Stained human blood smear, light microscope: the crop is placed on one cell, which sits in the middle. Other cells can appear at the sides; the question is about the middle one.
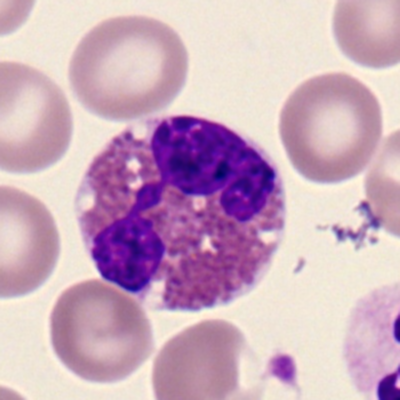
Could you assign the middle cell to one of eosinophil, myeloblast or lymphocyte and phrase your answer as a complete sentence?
Seen at the centre of the crop is an eosinophil.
